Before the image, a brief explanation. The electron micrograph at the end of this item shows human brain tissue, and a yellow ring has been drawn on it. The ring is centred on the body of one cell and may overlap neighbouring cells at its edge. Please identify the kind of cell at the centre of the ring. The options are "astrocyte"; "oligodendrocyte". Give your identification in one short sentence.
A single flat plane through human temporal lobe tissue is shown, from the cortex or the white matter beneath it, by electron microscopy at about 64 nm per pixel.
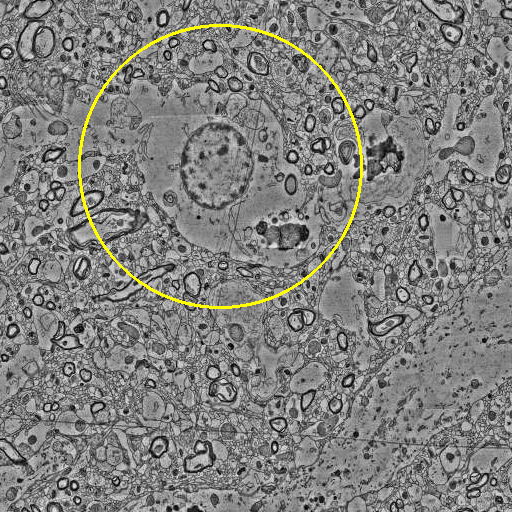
The ring has been placed around an astrocyte.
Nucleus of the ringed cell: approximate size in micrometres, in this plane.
In this plane the nucleus is about 5 micrometres across.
